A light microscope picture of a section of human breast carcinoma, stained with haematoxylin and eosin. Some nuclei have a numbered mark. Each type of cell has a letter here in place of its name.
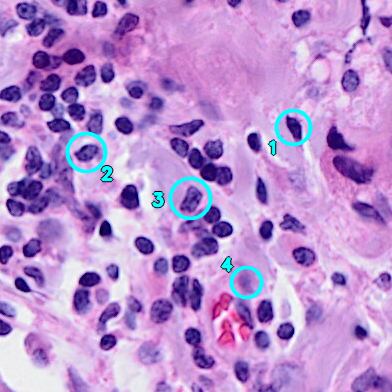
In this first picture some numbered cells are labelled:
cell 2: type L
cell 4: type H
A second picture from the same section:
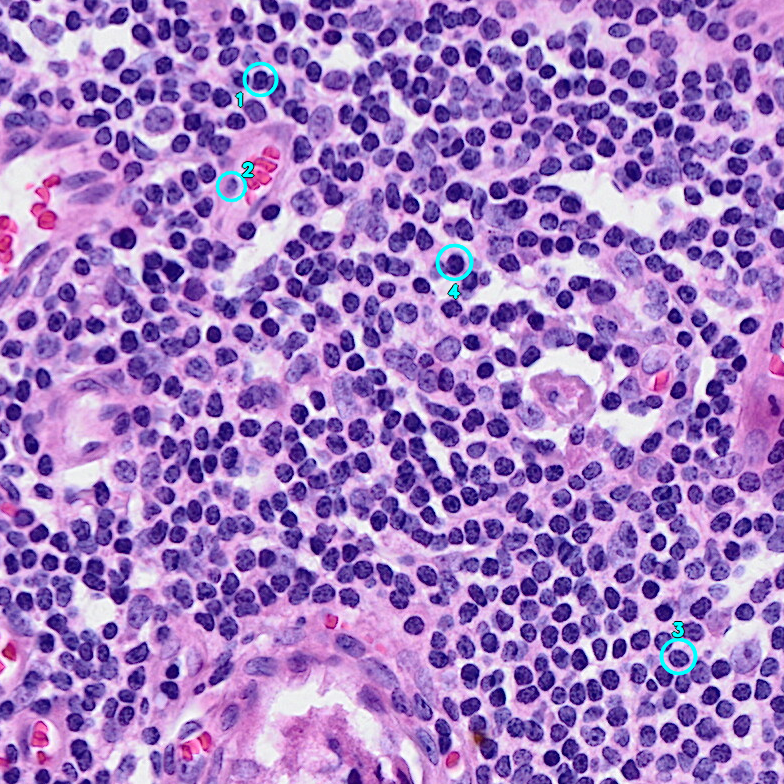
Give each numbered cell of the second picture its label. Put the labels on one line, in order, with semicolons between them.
type L; type H; type L; type L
